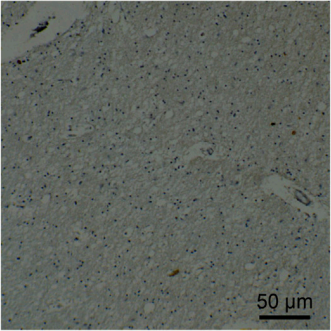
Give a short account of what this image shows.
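This section of brain tissue shows a pale, finely textured background scattered with many small, dark blue nuclei. The nuclei are small and roughly round, spread fairly evenly without forming clusters or layers. A few small blood vessels cross the field, and a larger open space lies near the upper left. Brown stain is faint overall, with only a few small brown spots.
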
